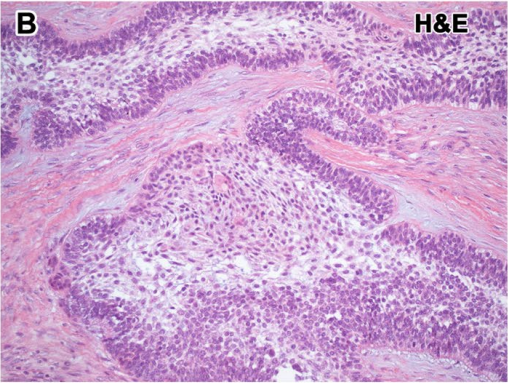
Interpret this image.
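Here broad cords and islands of tumour epithelium lie within pink, fibrous stroma. Nuclei are dark and crowded, especially along the edges of the cords. The stroma between the cords is made of wavy pink collagen with scattered thin spindle-shaped nuclei.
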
